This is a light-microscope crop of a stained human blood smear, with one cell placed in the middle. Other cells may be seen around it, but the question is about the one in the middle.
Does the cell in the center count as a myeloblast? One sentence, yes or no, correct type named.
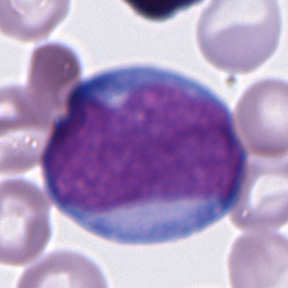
Yes, the cell at the middle is a myeloblast.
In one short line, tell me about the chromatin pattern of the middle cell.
The chromatin is fine, with no coarse clumping anywhere.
